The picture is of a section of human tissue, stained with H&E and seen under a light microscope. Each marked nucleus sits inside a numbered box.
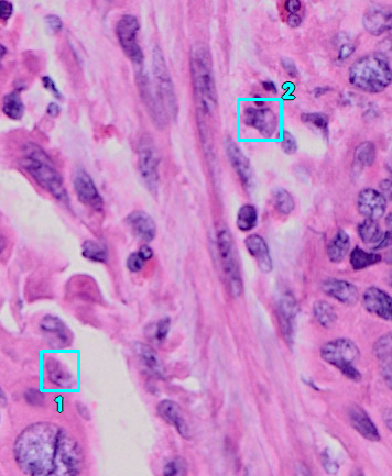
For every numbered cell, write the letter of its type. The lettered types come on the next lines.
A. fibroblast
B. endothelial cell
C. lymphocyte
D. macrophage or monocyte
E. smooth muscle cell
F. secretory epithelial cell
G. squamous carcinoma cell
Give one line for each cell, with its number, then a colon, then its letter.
1: G
2: D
